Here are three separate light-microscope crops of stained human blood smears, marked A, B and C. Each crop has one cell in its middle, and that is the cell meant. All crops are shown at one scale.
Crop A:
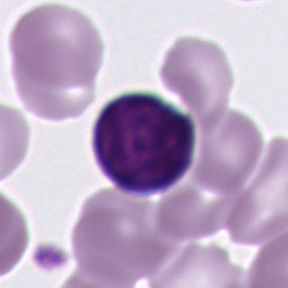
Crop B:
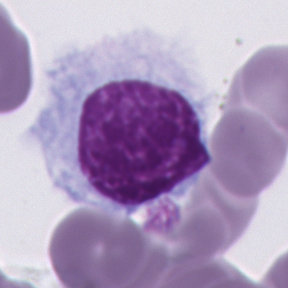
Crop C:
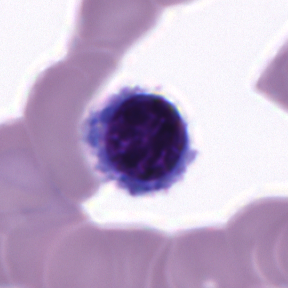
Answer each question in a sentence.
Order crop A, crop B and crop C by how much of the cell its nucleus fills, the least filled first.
From the least filled to the most, the order is B, C, A.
